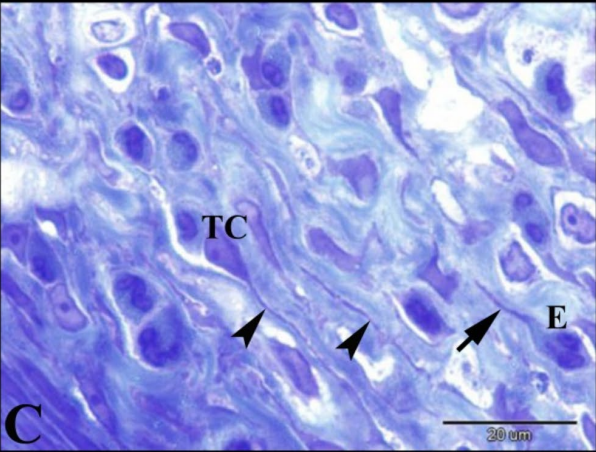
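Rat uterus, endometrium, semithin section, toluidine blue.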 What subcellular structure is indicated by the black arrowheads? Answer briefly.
Long telopodes.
